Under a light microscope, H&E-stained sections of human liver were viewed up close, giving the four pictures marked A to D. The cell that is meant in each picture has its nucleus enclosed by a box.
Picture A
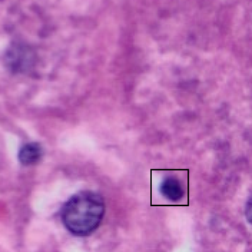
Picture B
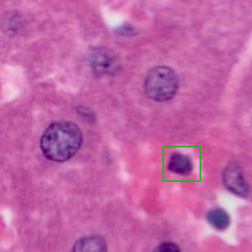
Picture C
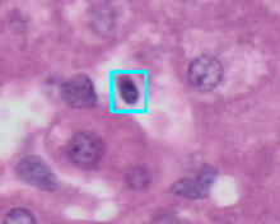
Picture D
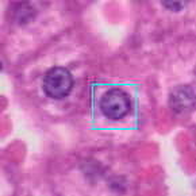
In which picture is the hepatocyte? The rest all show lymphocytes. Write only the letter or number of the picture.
D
